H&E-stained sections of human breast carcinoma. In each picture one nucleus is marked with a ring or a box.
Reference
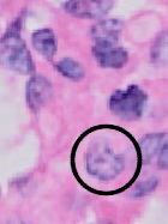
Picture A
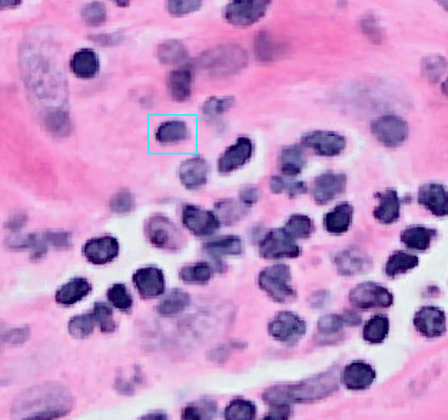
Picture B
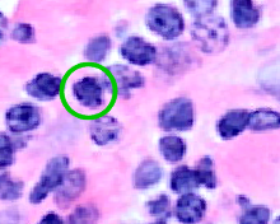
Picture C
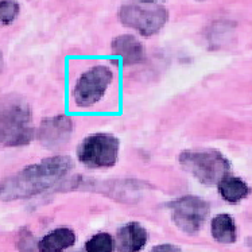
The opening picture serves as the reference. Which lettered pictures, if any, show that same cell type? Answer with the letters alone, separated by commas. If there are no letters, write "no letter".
no letter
